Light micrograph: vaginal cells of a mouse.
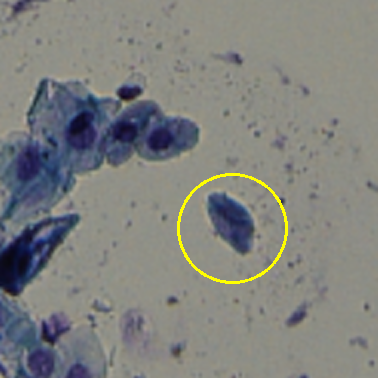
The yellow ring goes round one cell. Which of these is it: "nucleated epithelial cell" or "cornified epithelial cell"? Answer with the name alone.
cornified epithelial cell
